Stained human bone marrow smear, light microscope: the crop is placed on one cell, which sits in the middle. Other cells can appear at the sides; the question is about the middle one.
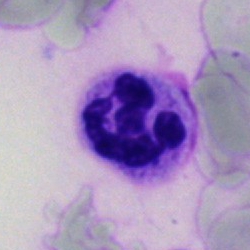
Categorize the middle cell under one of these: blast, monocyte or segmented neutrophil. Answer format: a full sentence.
The cell at the middle of the frame should be recorded as a segmented neutrophil.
